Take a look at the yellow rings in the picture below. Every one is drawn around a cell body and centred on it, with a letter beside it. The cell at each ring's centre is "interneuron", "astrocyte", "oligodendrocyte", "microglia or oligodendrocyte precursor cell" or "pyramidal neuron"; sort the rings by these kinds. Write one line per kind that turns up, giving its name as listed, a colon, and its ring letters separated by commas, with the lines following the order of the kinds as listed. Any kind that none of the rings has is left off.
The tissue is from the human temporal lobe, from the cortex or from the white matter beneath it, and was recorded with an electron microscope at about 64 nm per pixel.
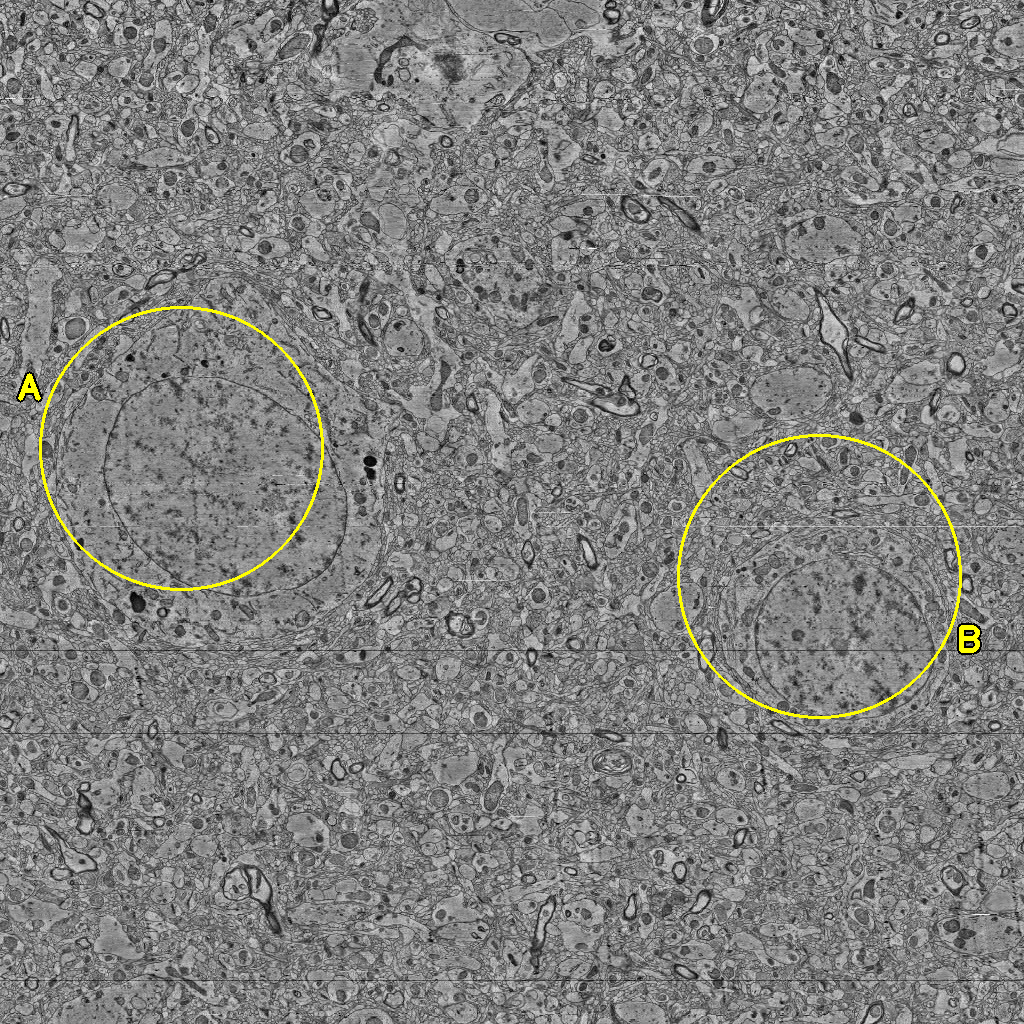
interneuron: B
pyramidal neuron: A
